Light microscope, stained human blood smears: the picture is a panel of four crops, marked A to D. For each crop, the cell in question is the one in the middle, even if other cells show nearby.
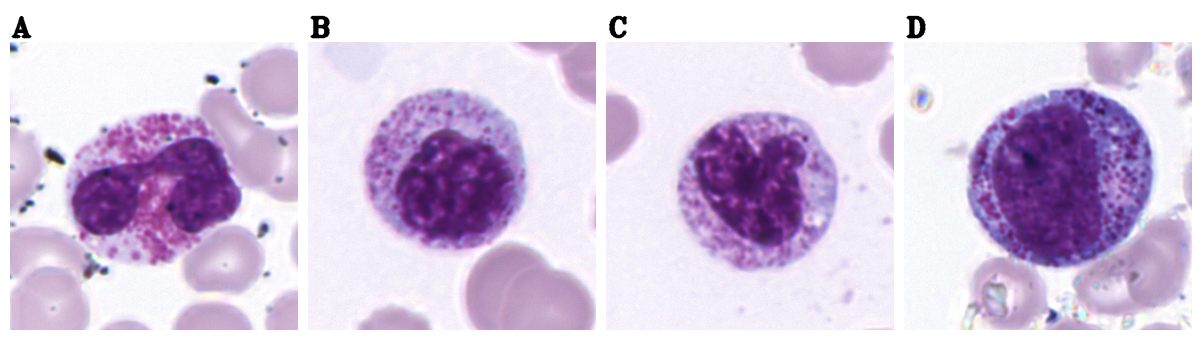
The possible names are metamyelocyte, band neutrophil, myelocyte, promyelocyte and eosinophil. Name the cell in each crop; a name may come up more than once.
A: eosinophil
B: myelocyte
C: band neutrophil
D: promyelocyte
